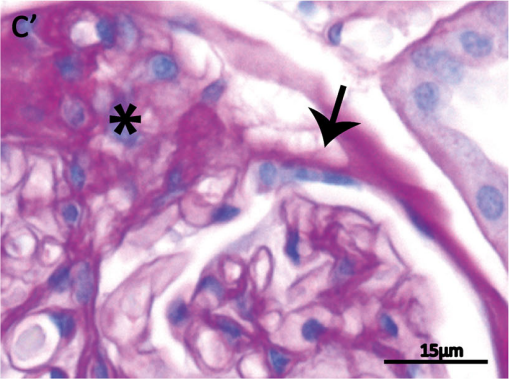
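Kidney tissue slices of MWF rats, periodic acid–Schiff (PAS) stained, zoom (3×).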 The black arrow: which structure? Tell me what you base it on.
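The arrow points where the thick magenta capsule membrane splits. A thinner layer branches off inward toward the dense segment.
Conclusion: bifurcations of the original Bowman's capsule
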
